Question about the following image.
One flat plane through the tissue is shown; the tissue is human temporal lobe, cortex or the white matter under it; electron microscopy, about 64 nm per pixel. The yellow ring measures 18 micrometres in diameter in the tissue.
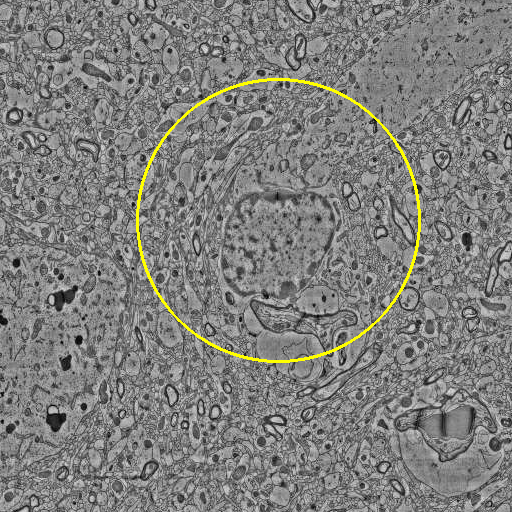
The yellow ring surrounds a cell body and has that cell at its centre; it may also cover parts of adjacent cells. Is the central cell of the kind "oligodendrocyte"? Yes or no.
No, it is of another kind.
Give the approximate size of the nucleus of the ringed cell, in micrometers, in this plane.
In this plane the nucleus spans approximately 8 by 7 micrometers.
